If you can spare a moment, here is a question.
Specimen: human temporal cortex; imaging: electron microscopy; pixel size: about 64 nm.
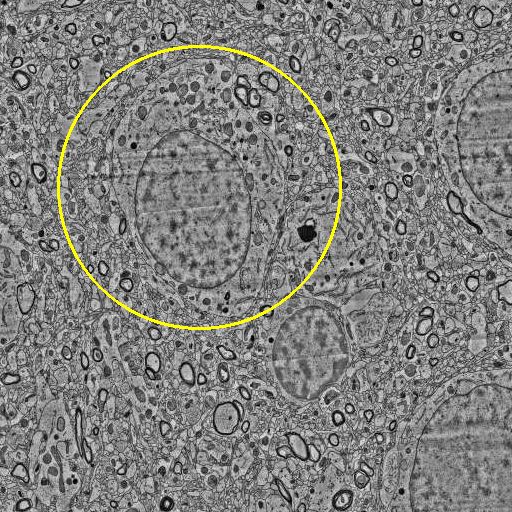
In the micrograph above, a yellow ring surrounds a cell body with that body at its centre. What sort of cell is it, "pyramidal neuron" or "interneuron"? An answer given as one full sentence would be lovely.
Centred inside the yellow ring, the cell body shown belongs to an interneuron in this micrograph.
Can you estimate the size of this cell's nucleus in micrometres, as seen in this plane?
About 10 by 8 micrometers for the nucleus, in this plane.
